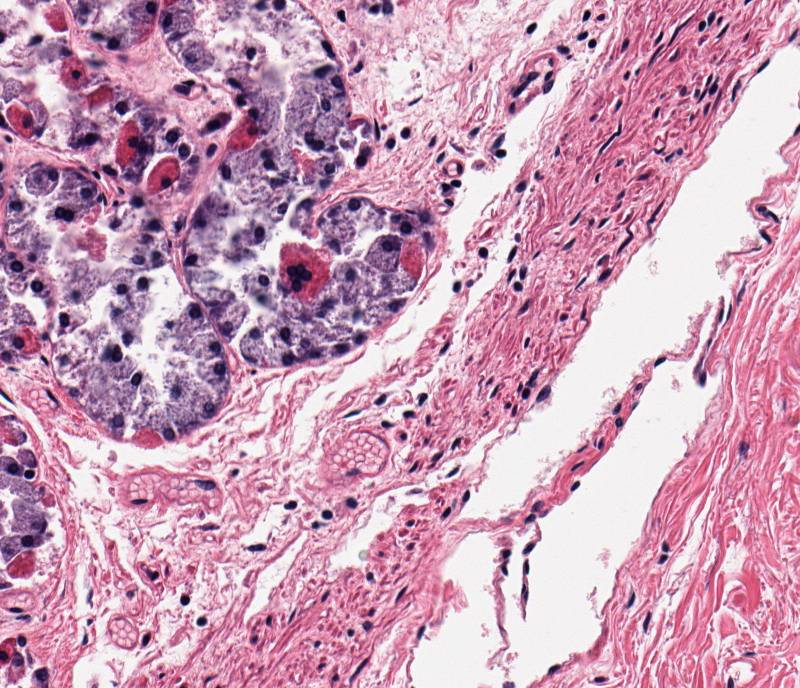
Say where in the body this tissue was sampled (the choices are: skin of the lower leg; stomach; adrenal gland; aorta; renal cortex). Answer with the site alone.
stomach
